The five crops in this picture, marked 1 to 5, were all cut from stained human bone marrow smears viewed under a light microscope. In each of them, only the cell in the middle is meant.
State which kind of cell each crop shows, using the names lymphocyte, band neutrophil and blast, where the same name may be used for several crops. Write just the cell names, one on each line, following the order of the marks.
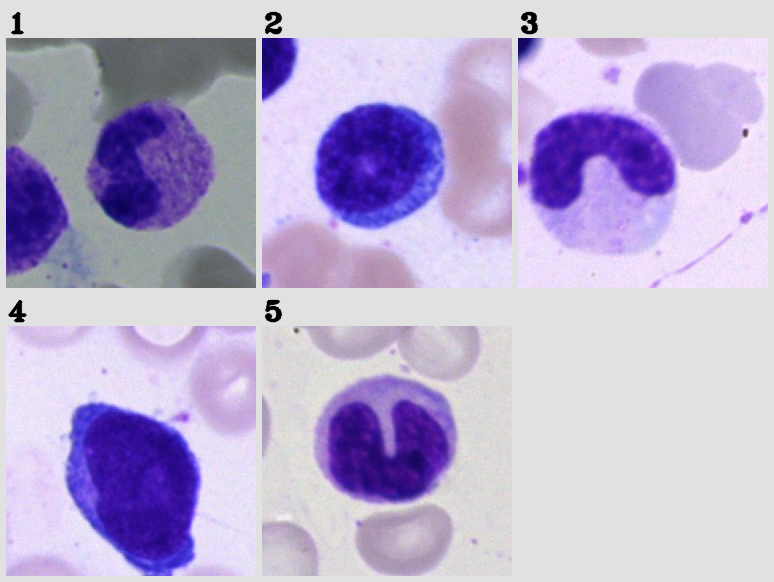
band neutrophil
blast
band neutrophil
blast
band neutrophil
